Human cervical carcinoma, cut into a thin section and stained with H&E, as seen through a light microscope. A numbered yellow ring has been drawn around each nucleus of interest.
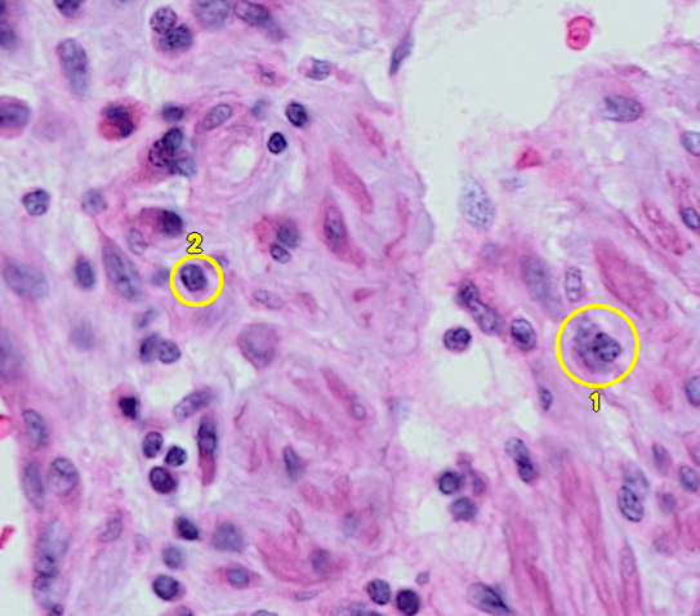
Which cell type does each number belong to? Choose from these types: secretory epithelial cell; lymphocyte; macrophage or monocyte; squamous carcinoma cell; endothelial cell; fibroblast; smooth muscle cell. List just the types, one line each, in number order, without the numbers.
macrophage or monocyte
lymphocyte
